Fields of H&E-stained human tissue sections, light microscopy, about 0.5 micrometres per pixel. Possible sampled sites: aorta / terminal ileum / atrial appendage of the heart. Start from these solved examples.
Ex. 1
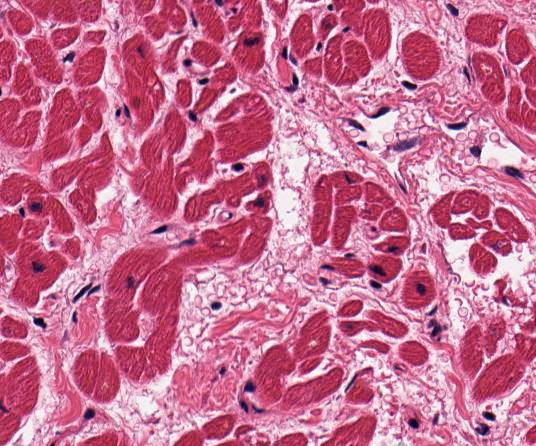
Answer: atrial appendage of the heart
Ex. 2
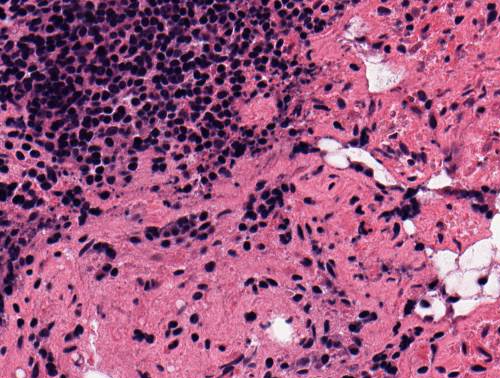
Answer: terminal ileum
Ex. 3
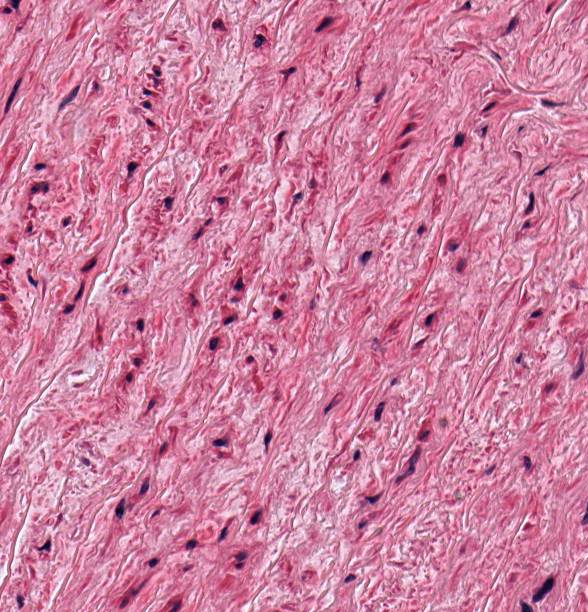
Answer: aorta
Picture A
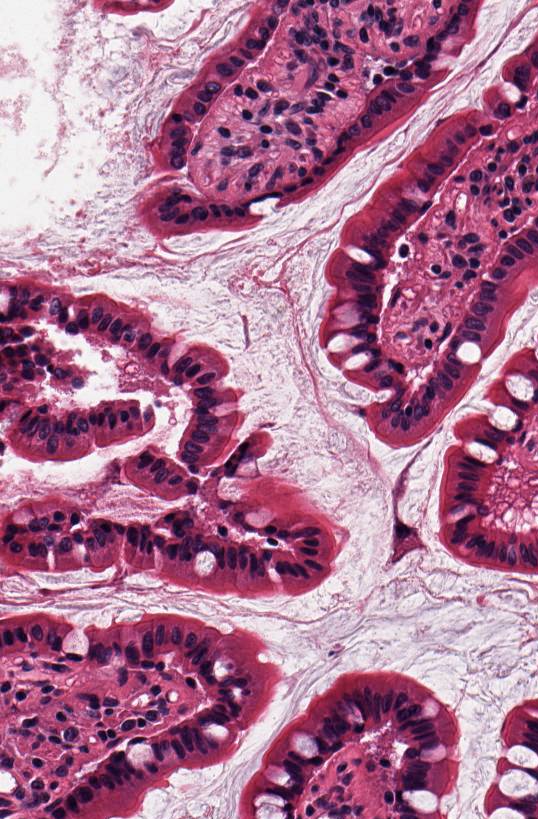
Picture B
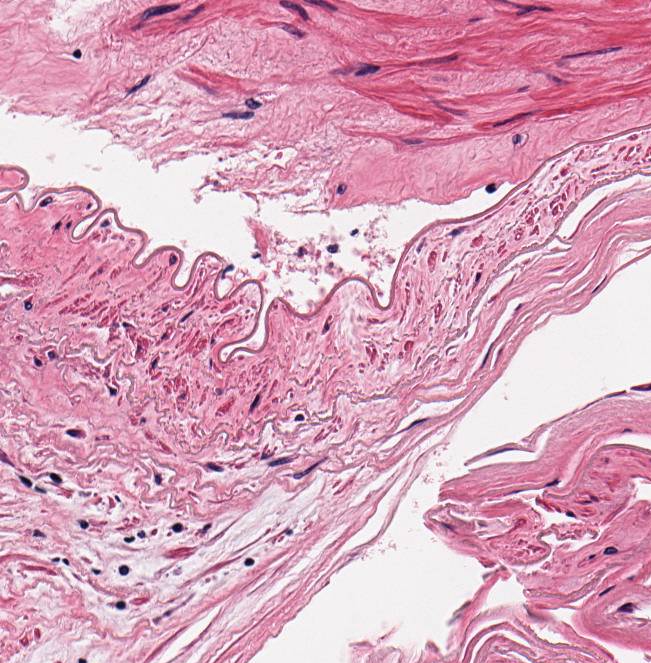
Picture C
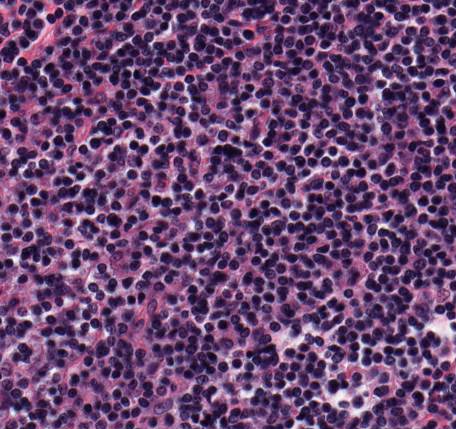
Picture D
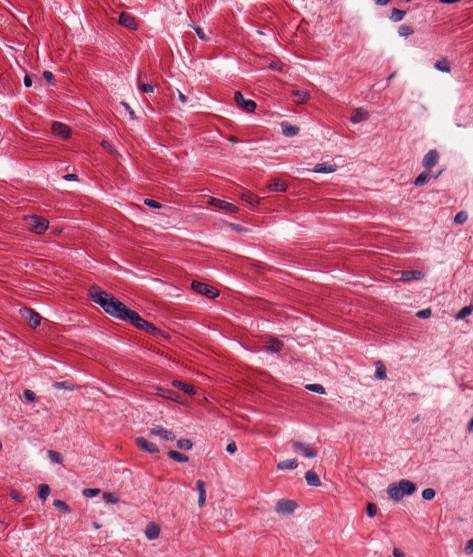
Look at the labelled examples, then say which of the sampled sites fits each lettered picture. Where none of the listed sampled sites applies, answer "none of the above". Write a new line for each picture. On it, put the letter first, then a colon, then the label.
A: terminal ileum
B: none of the above
C: terminal ileum
D: atrial appendage of the heart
